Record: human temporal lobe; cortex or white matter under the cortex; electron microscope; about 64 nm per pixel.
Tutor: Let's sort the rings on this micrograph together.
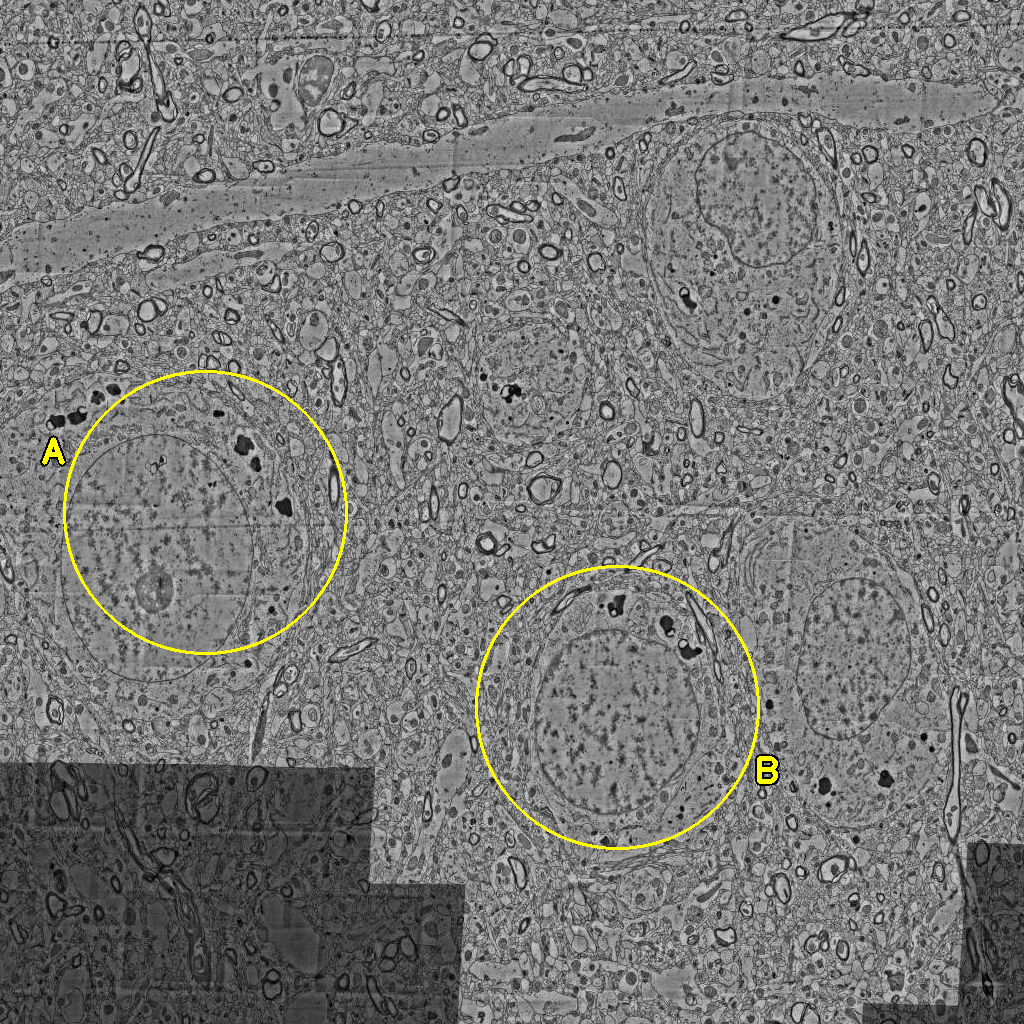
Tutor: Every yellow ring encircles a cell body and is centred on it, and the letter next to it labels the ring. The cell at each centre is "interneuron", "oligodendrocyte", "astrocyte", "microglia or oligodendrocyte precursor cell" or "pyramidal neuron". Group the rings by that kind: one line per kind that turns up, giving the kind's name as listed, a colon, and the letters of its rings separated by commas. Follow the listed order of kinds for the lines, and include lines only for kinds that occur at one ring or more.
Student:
interneuron: B
pyramidal neuron: A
